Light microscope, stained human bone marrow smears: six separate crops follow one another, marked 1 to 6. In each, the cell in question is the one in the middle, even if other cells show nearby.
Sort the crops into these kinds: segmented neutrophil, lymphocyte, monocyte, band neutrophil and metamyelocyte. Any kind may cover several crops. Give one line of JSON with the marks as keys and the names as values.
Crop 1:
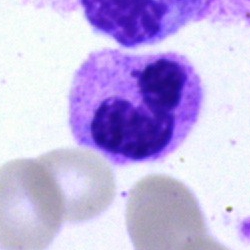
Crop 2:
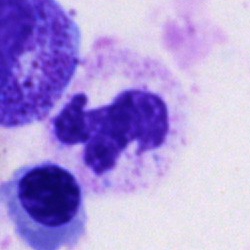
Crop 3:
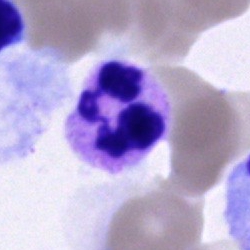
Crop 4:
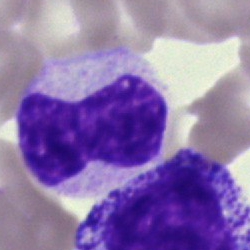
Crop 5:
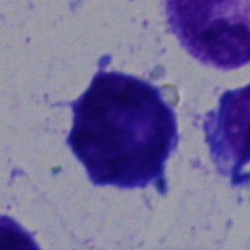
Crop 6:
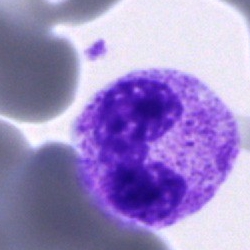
{"1": "segmented neutrophil", "2": "segmented neutrophil", "3": "segmented neutrophil", "4": "metamyelocyte", "5": "lymphocyte", "6": "segmented neutrophil"}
